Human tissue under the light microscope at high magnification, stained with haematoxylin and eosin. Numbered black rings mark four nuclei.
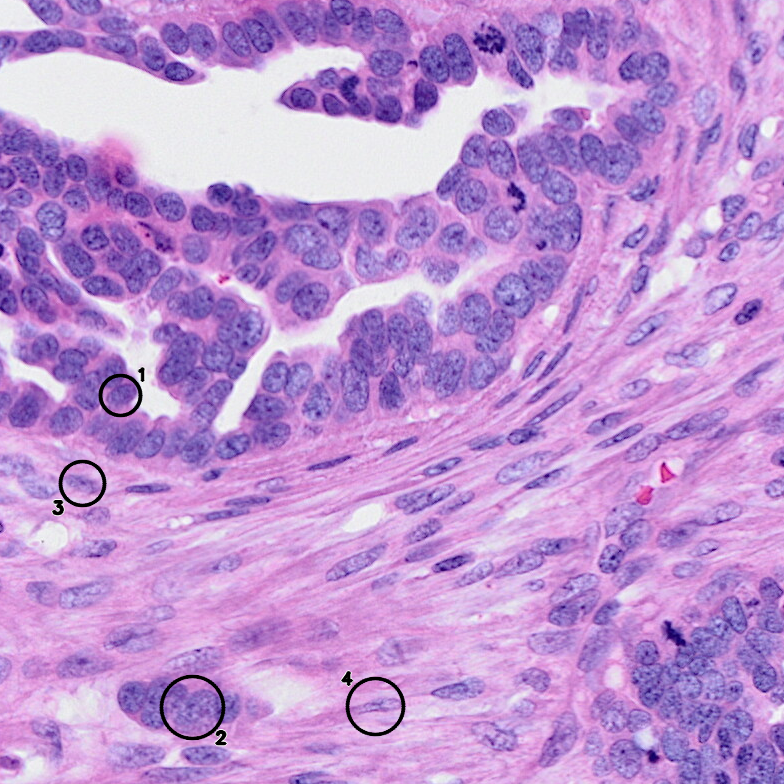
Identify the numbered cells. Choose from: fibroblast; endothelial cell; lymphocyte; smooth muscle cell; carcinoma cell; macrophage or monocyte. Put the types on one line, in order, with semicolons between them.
carcinoma cell; carcinoma cell; fibroblast; fibroblast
